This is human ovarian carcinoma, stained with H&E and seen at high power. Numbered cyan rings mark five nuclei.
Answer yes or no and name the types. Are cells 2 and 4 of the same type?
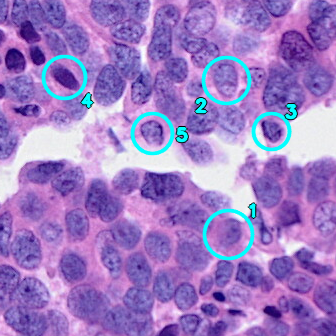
Yes, both are carcinoma cells.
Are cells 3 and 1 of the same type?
No, cell 3 is a macrophage or monocyte and cell 1 is a carcinoma cell.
